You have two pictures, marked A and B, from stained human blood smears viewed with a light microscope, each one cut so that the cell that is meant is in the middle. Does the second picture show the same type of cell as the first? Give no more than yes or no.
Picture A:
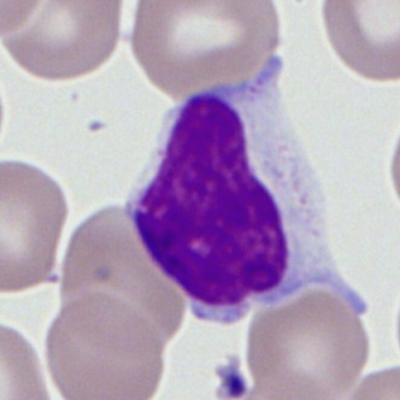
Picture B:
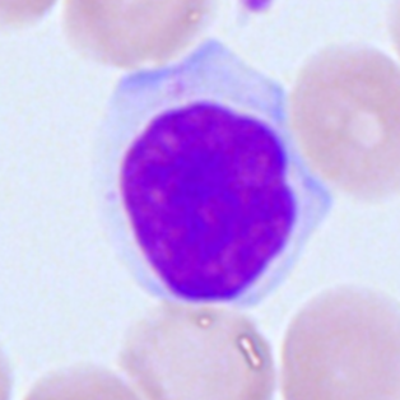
yes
